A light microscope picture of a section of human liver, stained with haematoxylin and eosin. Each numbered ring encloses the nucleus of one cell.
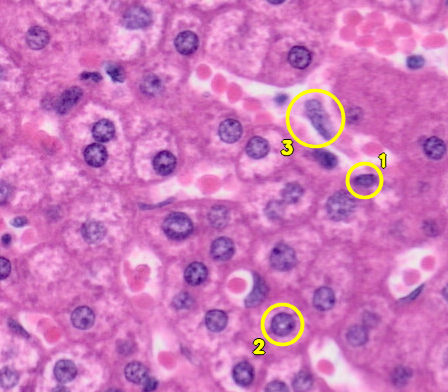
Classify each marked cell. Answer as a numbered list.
1. fibroblast or stellate cell
2. hepatocyte
3. Kupffer cell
